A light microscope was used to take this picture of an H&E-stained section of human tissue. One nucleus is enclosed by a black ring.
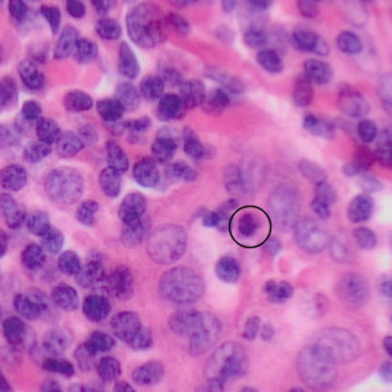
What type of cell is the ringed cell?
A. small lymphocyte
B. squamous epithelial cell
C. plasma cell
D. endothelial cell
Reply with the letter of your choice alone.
D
